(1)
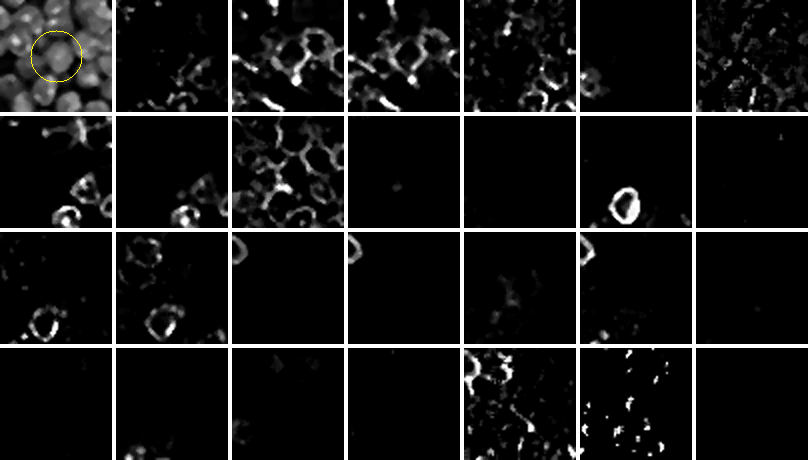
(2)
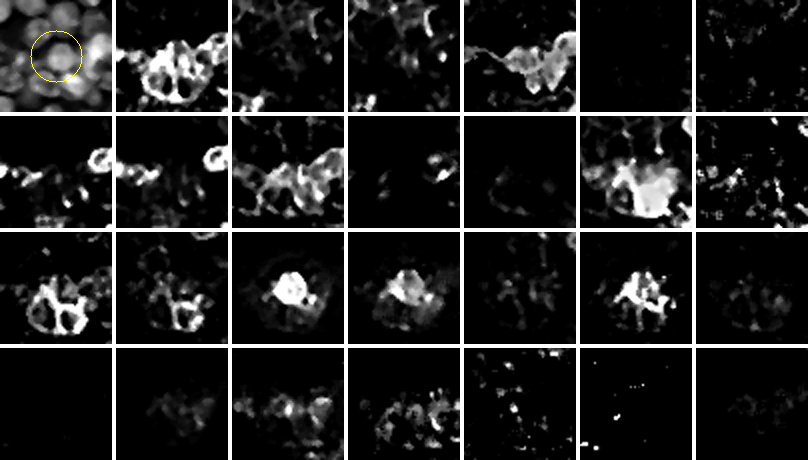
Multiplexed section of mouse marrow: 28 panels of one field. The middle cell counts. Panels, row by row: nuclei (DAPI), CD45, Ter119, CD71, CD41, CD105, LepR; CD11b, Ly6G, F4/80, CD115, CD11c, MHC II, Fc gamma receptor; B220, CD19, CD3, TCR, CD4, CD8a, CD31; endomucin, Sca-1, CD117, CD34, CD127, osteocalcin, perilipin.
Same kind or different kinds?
Different: the first is an erythroblast, the second a CD8 T cell.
